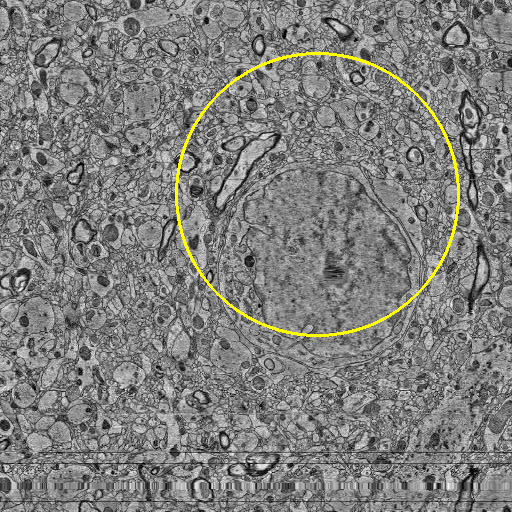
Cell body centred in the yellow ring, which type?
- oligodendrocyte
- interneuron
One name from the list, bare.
interneuron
